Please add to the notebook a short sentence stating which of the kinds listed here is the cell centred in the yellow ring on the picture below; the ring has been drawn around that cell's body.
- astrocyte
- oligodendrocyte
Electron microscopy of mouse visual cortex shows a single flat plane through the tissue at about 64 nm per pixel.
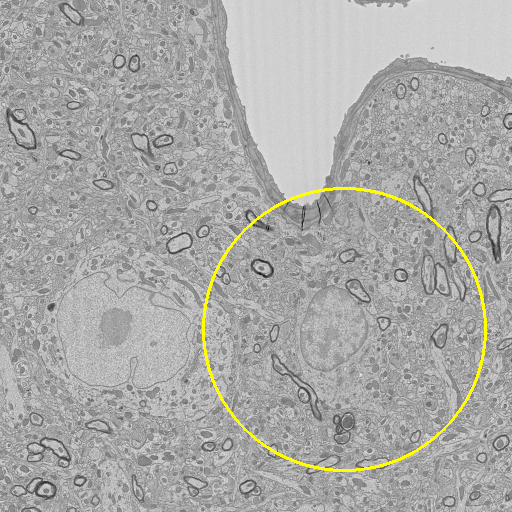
The cell centred in the yellow ring is an oligodendrocyte.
